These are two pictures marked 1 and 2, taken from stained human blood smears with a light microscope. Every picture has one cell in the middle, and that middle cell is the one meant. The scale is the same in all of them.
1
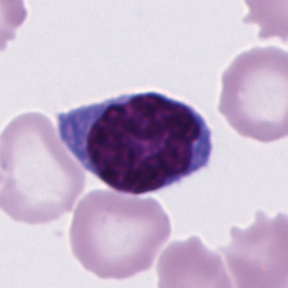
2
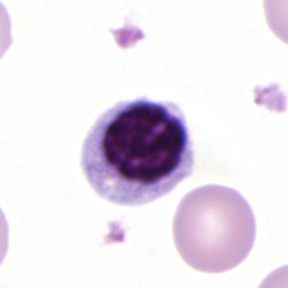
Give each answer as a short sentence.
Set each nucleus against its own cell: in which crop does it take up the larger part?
The nucleus fills more of the cell in picture 1 than in picture 2.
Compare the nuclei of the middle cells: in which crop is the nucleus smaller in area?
It is the nucleus in picture 2; the one in picture 1 has about 2 times its area.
